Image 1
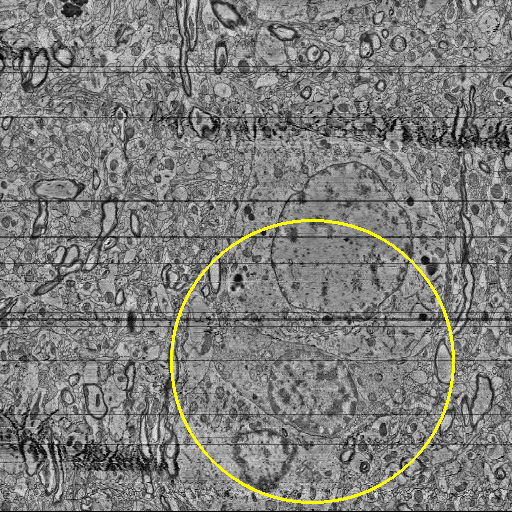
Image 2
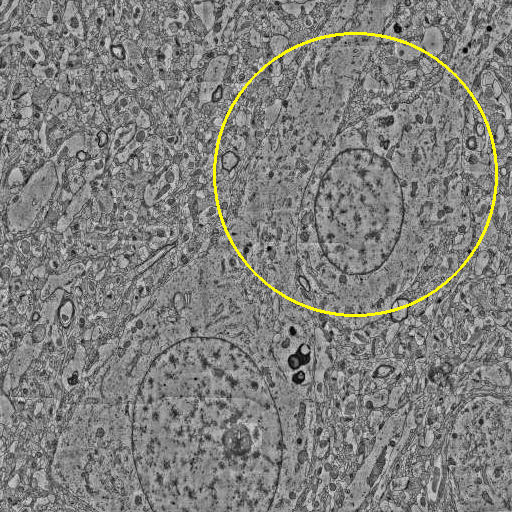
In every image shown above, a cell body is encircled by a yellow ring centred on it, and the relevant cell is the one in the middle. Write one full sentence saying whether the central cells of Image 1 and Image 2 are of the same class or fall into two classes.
The cell at the ring's centre in Image 1 and its counterpart in Image 2 fall into two classes.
